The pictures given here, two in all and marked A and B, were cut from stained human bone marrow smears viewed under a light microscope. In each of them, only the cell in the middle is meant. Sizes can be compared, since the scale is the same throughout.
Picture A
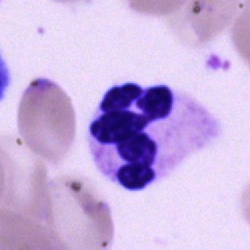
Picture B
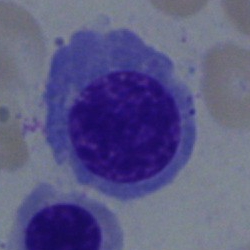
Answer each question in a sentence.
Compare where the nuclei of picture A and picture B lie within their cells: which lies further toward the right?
It is the nucleus in picture B that lies further toward the right of its cell.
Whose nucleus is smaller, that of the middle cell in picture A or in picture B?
It is the nucleus in picture A; the one in picture B has about 2 times its area.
